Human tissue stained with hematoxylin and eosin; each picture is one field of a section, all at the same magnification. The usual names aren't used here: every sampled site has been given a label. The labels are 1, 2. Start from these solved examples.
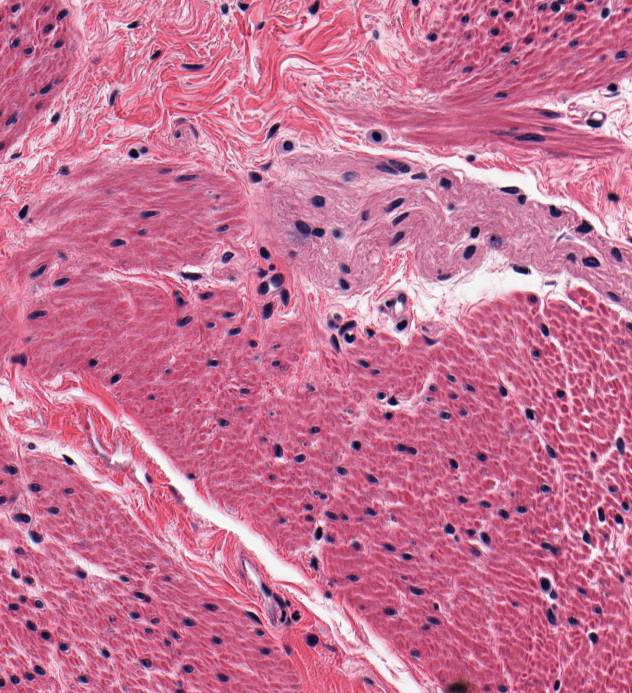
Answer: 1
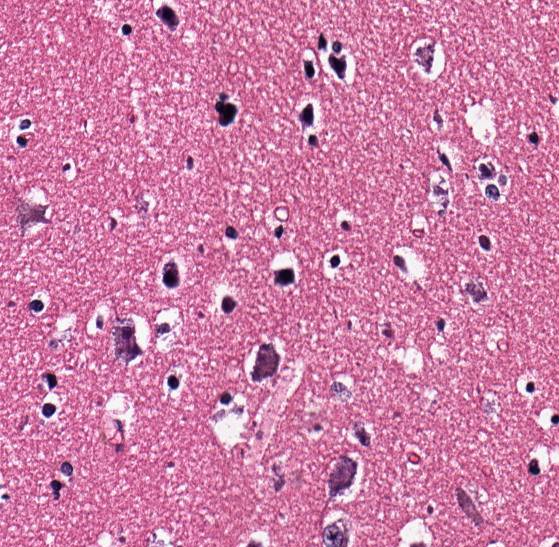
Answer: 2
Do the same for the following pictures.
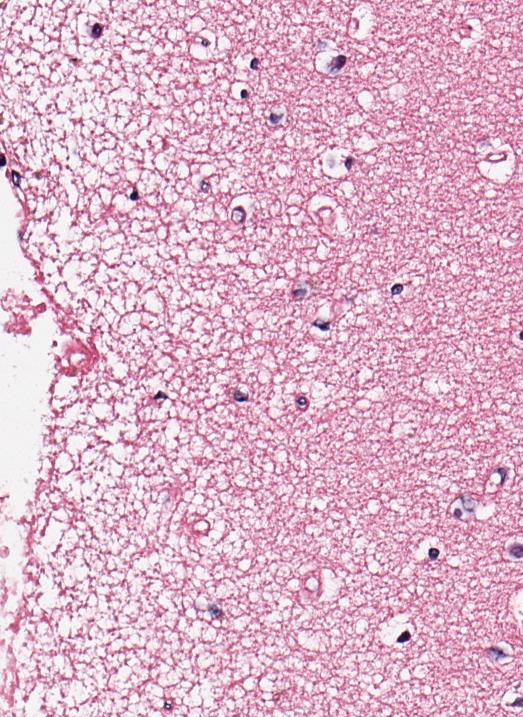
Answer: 2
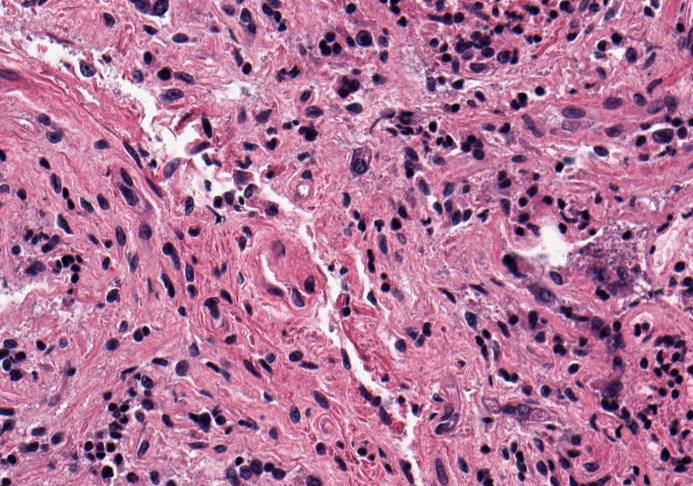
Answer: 1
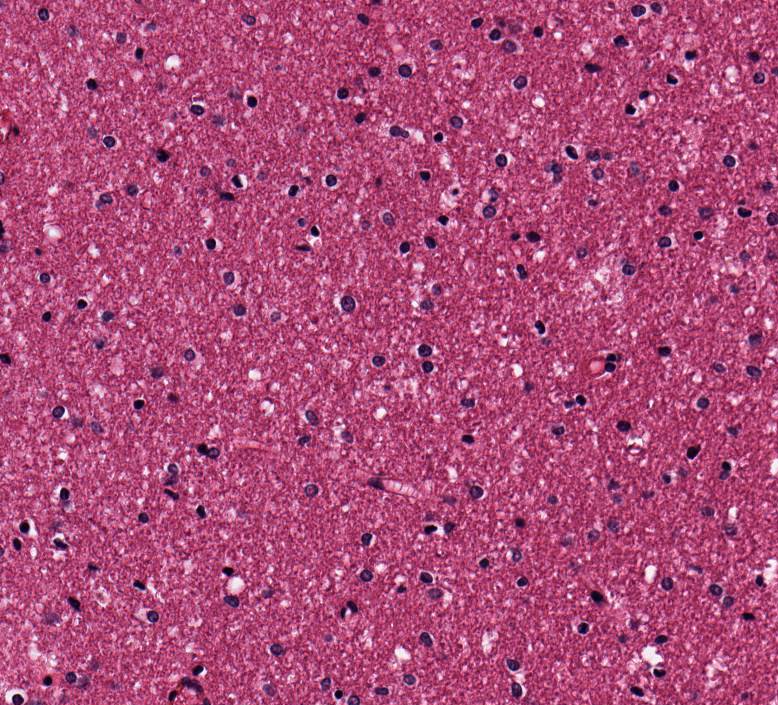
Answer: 2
